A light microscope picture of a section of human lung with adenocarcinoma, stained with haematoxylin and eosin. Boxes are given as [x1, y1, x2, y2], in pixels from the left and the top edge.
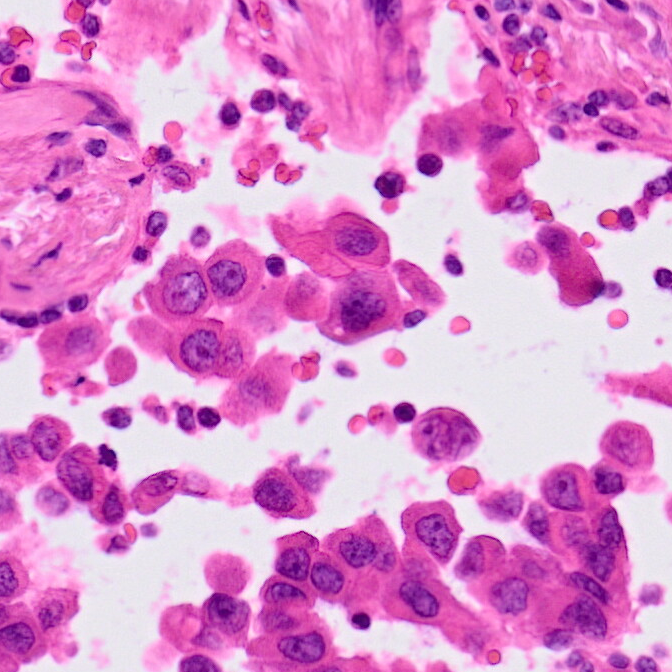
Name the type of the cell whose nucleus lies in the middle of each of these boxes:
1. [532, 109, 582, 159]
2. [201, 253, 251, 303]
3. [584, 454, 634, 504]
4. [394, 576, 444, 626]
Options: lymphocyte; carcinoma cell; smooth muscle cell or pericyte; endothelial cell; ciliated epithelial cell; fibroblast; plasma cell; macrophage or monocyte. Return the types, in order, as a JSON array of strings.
["lymphocyte", "carcinoma cell", "carcinoma cell", "carcinoma cell"]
